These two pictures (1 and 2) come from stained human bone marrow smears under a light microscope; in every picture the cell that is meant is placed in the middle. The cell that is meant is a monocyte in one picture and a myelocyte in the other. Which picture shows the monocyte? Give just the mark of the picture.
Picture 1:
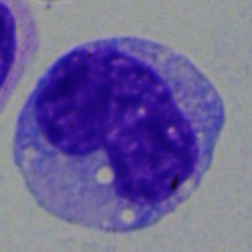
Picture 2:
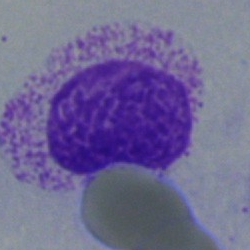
1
